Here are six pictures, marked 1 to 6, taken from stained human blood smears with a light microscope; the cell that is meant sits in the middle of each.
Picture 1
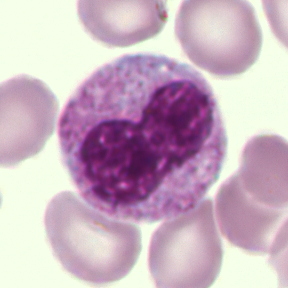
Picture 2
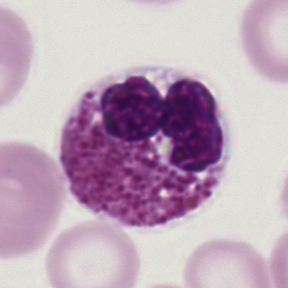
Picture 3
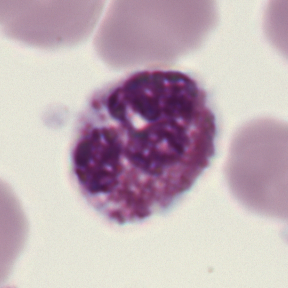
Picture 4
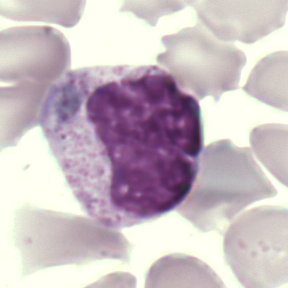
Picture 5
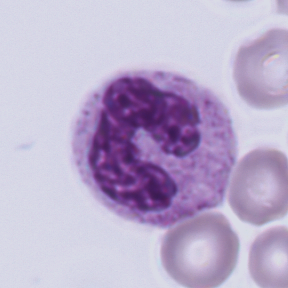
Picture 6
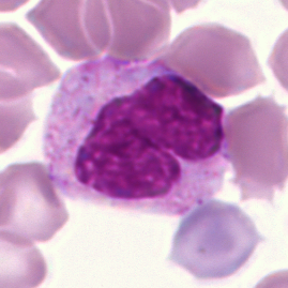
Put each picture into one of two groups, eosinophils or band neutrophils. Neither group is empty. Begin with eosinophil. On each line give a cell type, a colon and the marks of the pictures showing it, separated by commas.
eosinophil: 2, 3
band neutrophil: 1, 4, 5, 6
